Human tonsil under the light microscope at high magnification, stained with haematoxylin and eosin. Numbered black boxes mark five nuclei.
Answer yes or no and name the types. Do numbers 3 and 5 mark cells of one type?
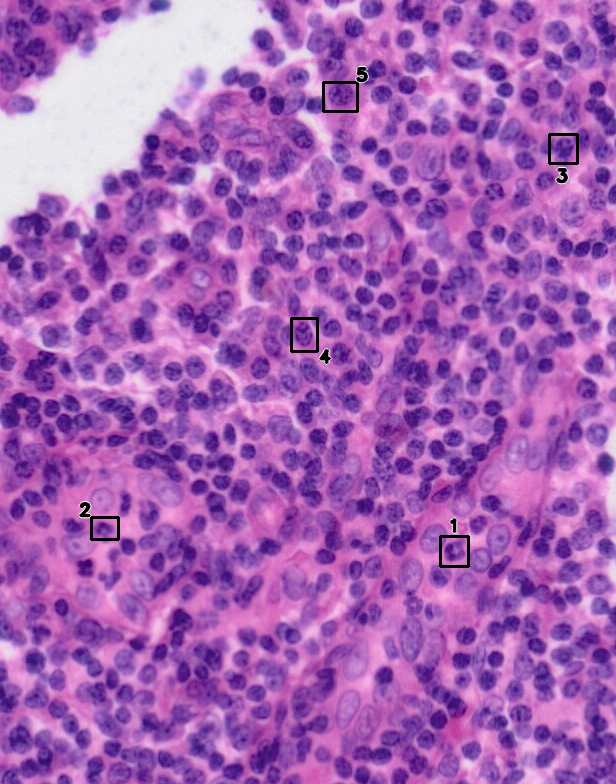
Yes, both are plasma cells.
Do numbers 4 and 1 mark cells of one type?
No, cell 4 is a plasma cell and cell 1 is an endothelial cell.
